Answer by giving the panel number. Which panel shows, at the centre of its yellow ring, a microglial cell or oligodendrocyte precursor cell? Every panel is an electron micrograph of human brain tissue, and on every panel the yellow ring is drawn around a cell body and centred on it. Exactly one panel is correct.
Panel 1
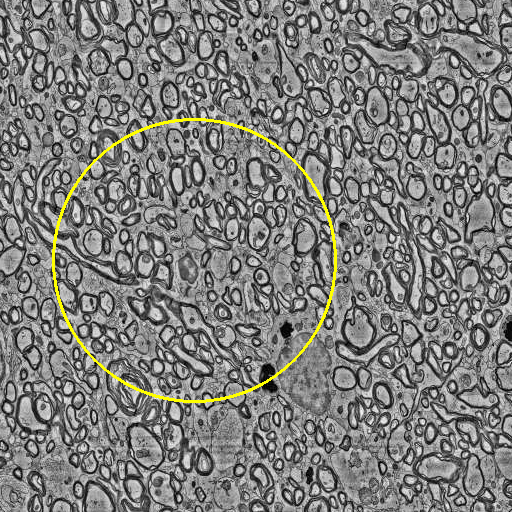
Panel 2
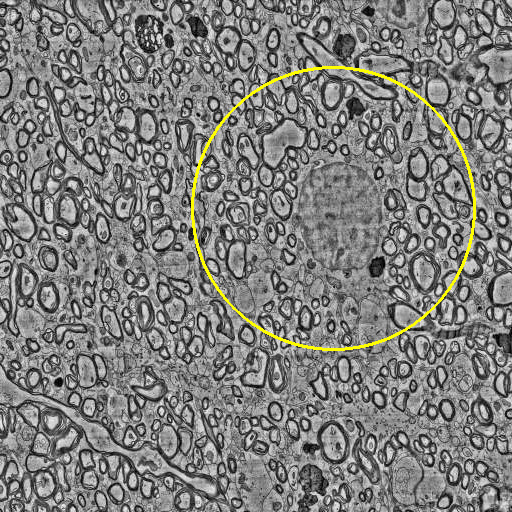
1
